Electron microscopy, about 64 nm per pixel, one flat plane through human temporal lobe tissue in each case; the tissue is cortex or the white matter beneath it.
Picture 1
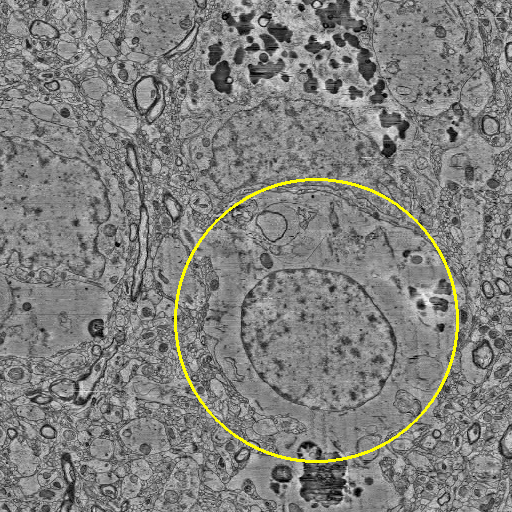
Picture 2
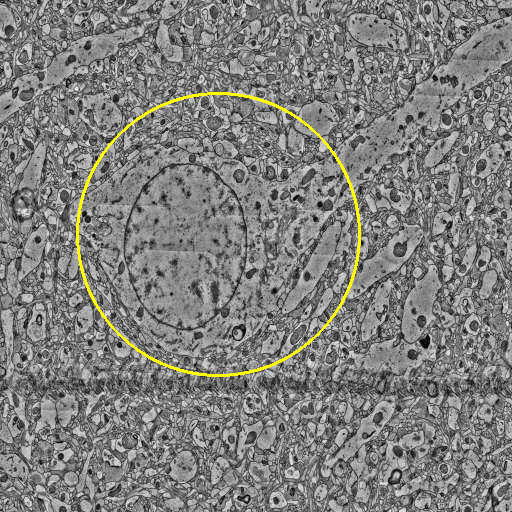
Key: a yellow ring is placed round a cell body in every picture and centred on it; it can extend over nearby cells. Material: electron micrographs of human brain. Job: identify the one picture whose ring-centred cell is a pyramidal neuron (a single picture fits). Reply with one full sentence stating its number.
Picture 2 is the one with the sought cell at the centre of its ring.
